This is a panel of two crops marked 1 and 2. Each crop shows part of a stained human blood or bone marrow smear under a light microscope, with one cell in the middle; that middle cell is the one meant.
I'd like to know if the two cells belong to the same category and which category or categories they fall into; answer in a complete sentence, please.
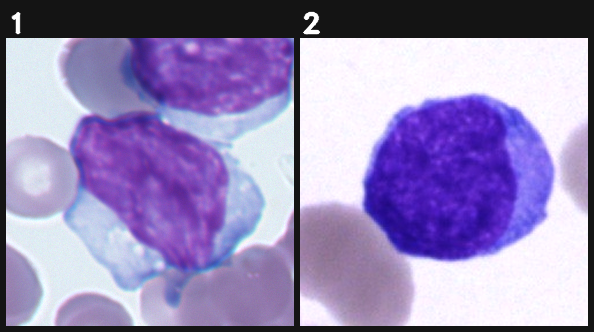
Yes, blasts are centred in both crops.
